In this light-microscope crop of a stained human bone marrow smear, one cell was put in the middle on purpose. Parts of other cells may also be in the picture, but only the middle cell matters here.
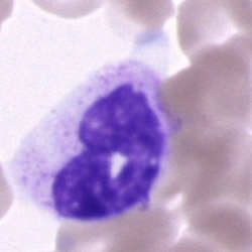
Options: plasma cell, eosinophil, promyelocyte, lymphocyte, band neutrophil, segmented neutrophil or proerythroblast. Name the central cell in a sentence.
Located at the centre of the crop is a band neutrophil.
